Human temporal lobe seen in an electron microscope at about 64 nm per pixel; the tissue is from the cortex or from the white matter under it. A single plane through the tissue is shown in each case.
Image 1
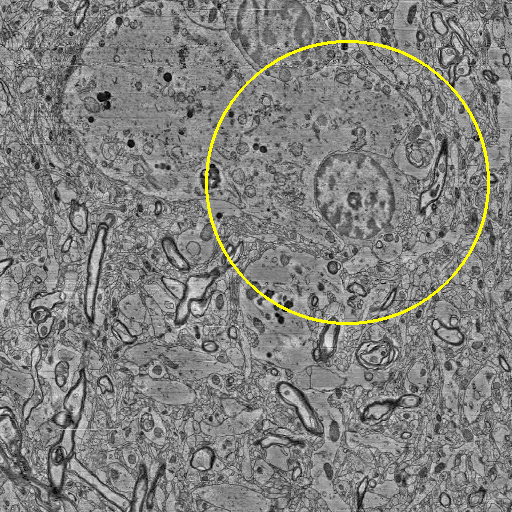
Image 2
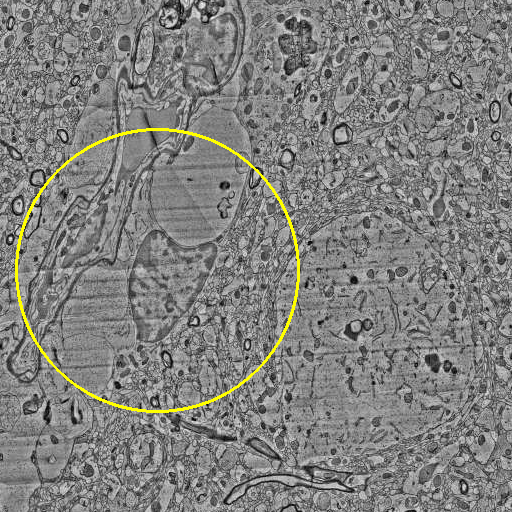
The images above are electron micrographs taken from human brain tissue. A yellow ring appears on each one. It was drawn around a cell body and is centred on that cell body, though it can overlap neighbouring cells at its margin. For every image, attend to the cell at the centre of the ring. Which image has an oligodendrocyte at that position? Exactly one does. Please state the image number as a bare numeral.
1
